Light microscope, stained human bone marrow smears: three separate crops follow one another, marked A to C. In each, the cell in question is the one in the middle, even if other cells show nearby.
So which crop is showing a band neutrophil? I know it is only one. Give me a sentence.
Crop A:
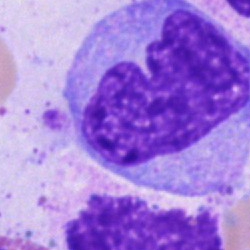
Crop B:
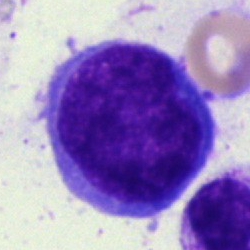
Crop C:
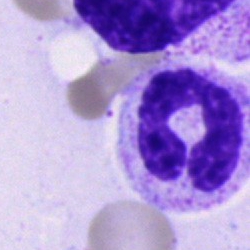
Crop C is the right one; it is the crop showing a band neutrophil.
